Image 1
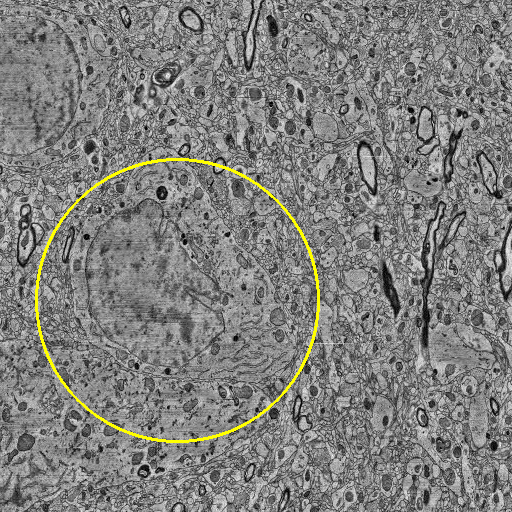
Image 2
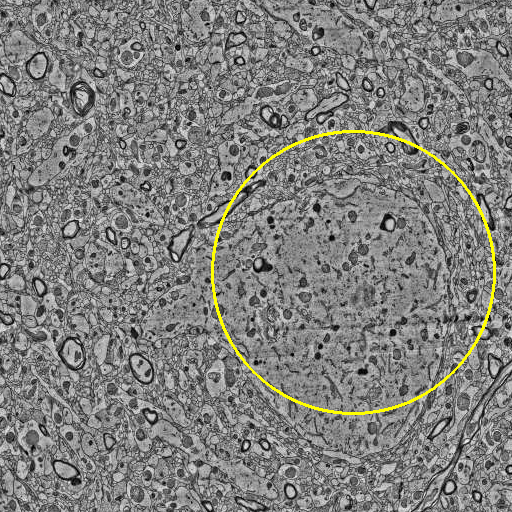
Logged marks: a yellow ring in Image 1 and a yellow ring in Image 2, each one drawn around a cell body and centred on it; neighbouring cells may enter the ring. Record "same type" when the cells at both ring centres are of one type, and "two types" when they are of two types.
two types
